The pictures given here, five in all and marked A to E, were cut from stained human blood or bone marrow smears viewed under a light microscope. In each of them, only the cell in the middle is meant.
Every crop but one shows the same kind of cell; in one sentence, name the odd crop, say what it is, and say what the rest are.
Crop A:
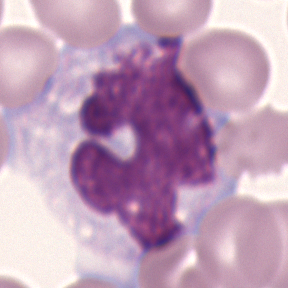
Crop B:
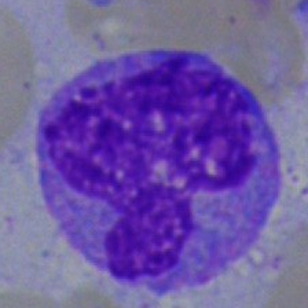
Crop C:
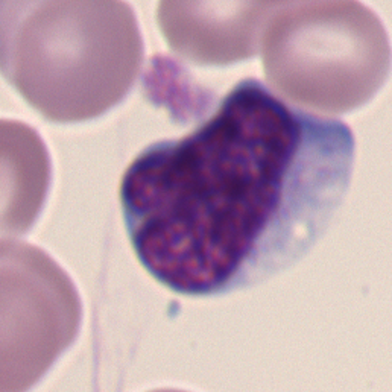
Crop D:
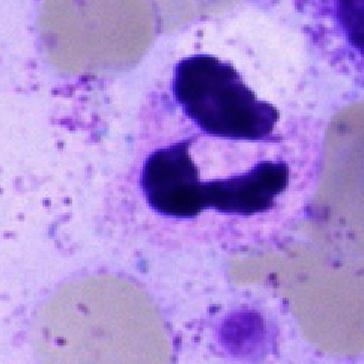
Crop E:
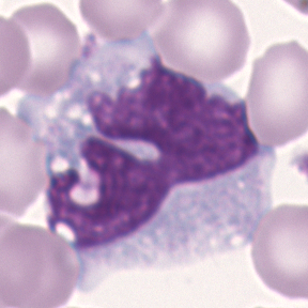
Crop D is the exception in this set, showing a segmented neutrophil while the others show monocytes.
